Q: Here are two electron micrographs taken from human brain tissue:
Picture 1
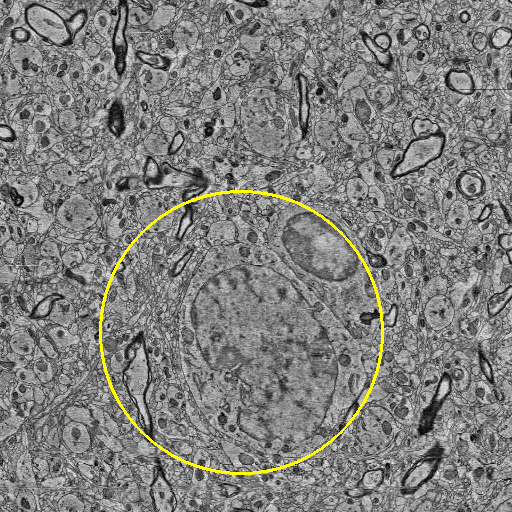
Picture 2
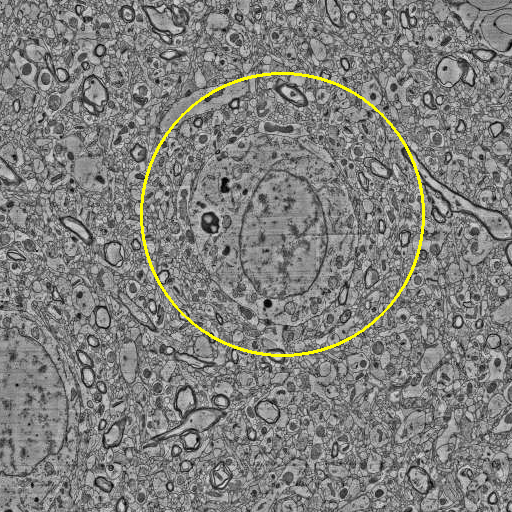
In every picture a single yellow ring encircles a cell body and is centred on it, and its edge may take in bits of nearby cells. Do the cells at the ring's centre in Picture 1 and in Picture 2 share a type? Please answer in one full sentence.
No, the cells at the ring's centre in Picture 1 and Picture 2 are of two types.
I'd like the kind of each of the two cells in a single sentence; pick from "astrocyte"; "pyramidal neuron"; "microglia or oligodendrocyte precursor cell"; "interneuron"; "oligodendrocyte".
The first ring marks an interneuron, and the second ring marks a pyramidal neuron.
